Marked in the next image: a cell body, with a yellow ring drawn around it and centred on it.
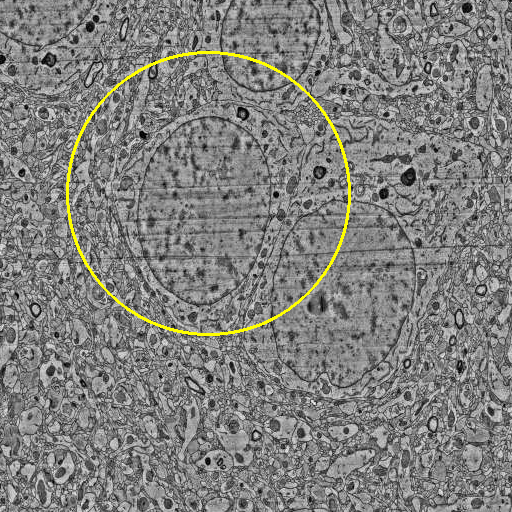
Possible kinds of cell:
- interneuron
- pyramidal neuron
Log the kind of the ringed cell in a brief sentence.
The ringed cell body is that of a pyramidal neuron.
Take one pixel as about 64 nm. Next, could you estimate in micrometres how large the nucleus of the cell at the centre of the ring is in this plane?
Roughly 12 by 9 micrometres is the size of the nucleus in this plane.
